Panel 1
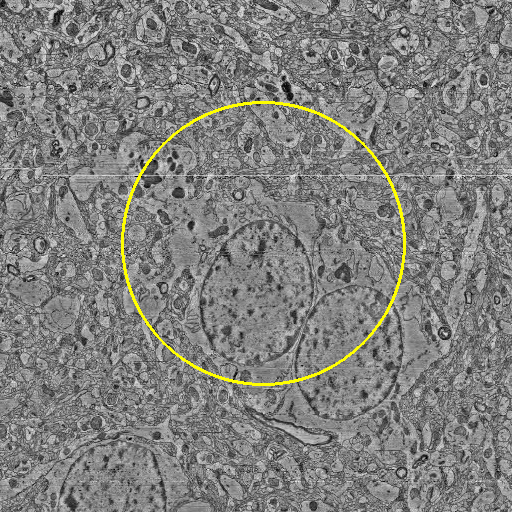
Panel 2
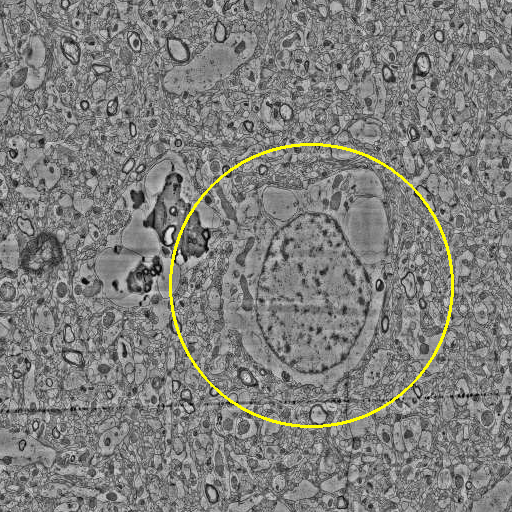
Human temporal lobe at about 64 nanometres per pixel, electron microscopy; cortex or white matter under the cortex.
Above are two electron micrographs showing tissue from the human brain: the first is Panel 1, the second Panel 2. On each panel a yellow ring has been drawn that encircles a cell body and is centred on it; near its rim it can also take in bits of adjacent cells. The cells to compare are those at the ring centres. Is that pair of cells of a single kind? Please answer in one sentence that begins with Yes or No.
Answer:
Yes, the ring-centred cells of Panel 1 and Panel 2 belong to one kind.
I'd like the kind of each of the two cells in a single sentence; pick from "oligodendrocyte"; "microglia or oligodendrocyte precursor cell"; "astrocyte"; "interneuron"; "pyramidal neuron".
Each of the two rings is centred on an astrocyte.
